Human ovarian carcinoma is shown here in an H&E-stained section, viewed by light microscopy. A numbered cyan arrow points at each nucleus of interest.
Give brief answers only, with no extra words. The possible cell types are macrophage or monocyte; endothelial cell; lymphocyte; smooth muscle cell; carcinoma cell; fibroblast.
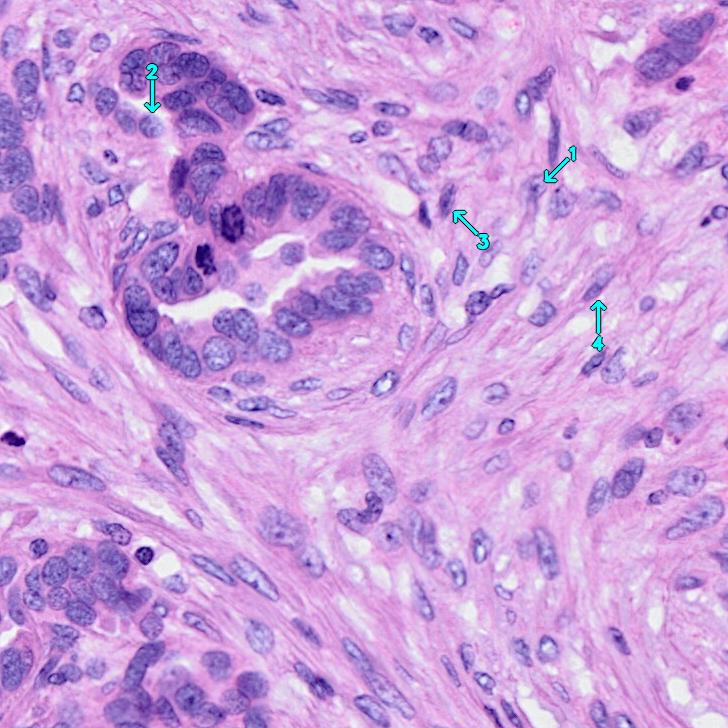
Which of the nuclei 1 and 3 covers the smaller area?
3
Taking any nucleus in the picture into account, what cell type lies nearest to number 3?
macrophage or monocyte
